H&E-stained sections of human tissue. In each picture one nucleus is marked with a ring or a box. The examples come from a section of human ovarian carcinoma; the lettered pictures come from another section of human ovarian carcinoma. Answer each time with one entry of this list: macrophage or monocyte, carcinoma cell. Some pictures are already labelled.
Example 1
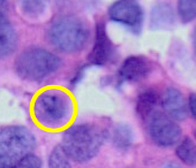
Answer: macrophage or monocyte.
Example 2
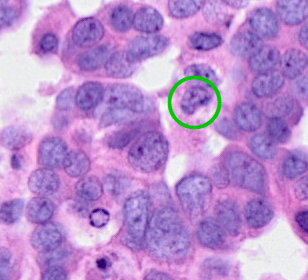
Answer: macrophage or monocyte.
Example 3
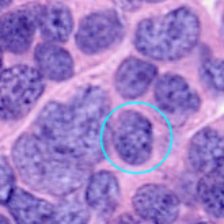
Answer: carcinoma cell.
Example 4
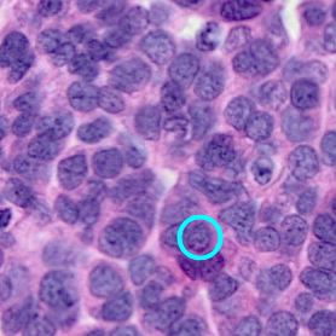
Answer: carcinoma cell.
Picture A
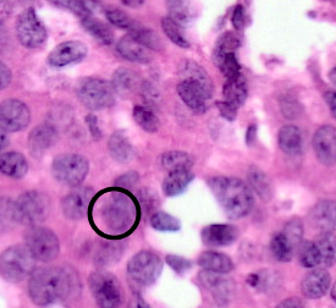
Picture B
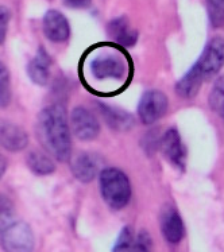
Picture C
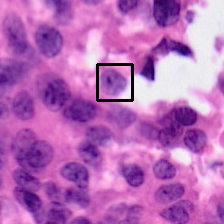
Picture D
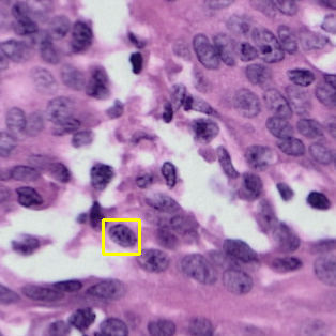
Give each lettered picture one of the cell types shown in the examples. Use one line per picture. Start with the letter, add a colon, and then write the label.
A: carcinoma cell.
B: carcinoma cell.
C: macrophage or monocyte.
D: macrophage or monocyte.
